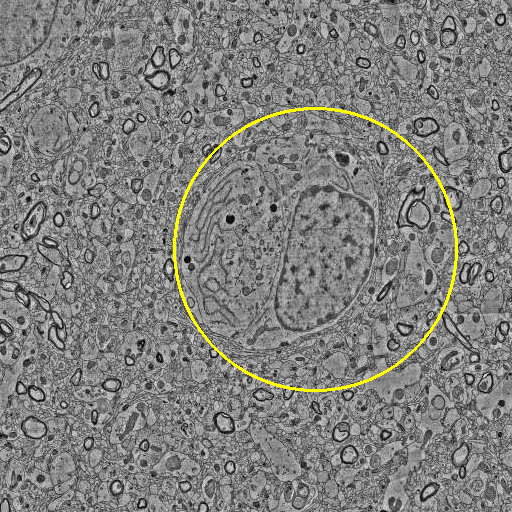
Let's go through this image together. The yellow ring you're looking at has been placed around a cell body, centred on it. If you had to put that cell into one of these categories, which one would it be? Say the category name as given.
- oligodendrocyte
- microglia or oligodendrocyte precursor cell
microglia or oligodendrocyte precursor cell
